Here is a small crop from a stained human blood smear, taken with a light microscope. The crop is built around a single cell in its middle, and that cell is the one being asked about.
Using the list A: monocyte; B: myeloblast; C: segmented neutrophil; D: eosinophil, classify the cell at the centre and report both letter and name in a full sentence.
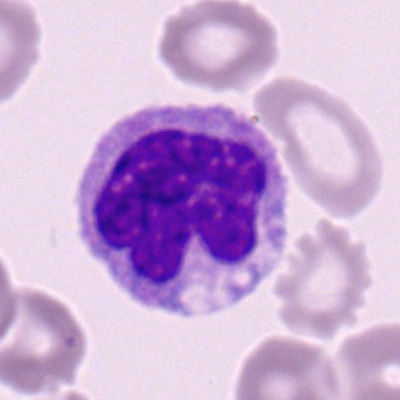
The best answer is option A, since the cell in the middle is a monocyte.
